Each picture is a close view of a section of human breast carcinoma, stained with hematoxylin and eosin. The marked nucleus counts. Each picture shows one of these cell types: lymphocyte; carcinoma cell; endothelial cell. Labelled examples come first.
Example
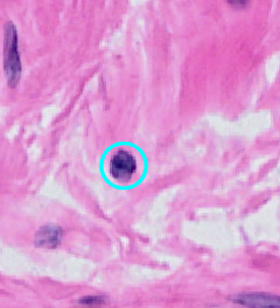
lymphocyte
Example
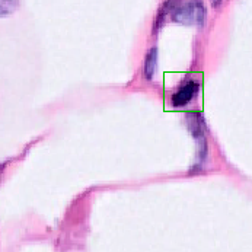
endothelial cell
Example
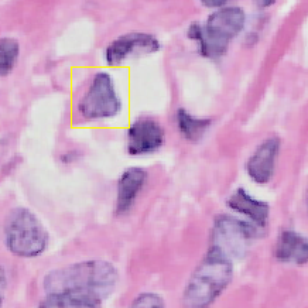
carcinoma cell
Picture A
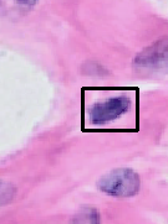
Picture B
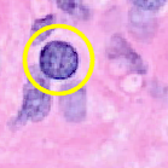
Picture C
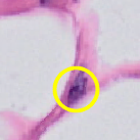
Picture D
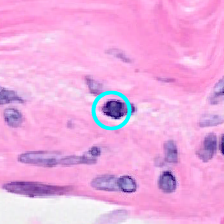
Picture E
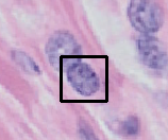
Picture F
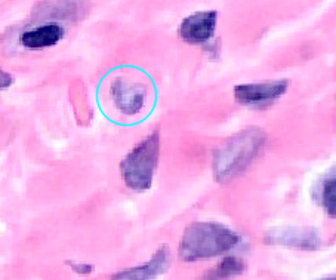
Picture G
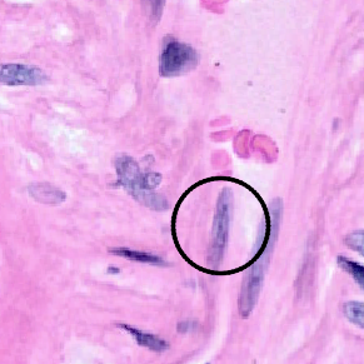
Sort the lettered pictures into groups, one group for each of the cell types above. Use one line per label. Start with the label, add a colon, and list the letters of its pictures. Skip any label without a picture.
lymphocyte: A, D
carcinoma cell: B, E
endothelial cell: C, F, G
